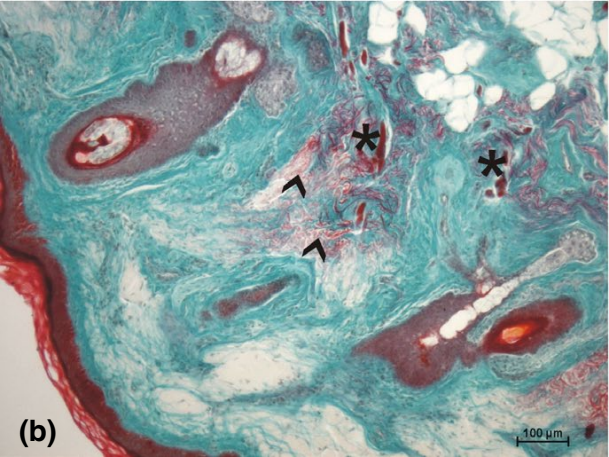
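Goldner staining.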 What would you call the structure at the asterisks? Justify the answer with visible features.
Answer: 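Muscle fibers. The asterisks mark small, deep red, elongated profiles. They lie within the green-stained connective tissue near fat cells.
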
